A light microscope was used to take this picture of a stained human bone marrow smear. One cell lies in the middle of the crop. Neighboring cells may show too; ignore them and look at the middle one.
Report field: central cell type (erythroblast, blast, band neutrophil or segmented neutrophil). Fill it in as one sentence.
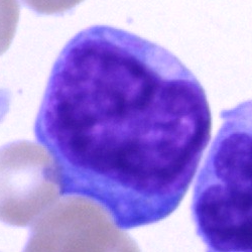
The cell that lies at the centre of the crop is a blast.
